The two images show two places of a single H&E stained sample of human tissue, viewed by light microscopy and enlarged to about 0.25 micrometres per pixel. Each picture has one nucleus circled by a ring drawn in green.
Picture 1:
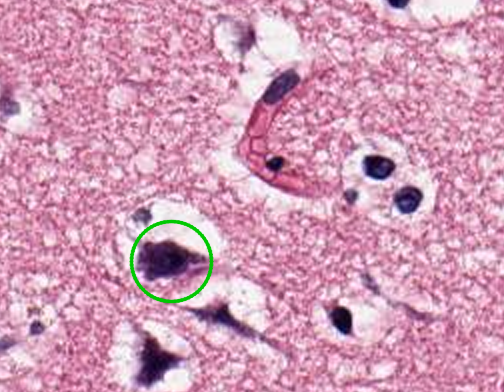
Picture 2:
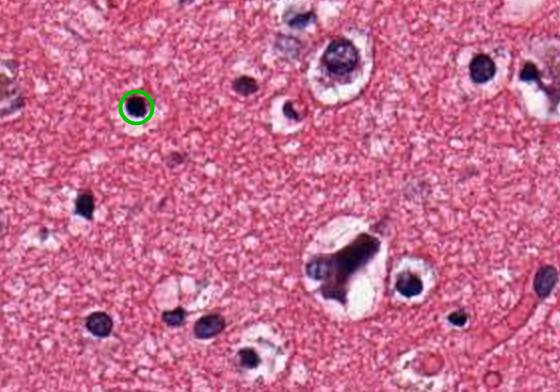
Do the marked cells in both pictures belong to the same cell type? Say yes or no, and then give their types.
No, the first is a neuron and the second an oligodendrocyte.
